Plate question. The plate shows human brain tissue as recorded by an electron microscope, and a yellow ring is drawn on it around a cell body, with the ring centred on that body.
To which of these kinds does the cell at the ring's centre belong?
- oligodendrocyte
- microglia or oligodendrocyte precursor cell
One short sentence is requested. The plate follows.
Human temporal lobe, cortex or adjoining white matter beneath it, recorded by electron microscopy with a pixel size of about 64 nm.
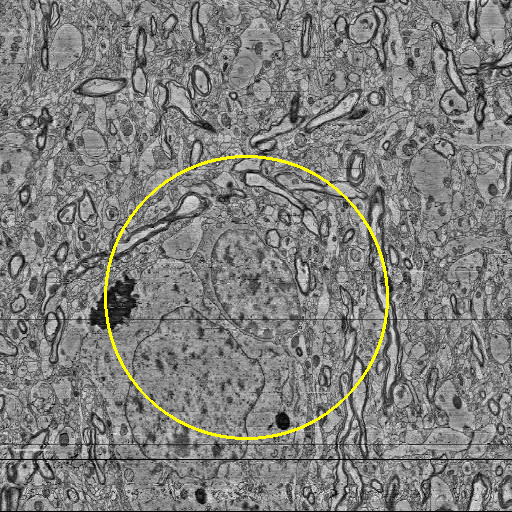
The cell at the ring's centre is an oligodendrocyte.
